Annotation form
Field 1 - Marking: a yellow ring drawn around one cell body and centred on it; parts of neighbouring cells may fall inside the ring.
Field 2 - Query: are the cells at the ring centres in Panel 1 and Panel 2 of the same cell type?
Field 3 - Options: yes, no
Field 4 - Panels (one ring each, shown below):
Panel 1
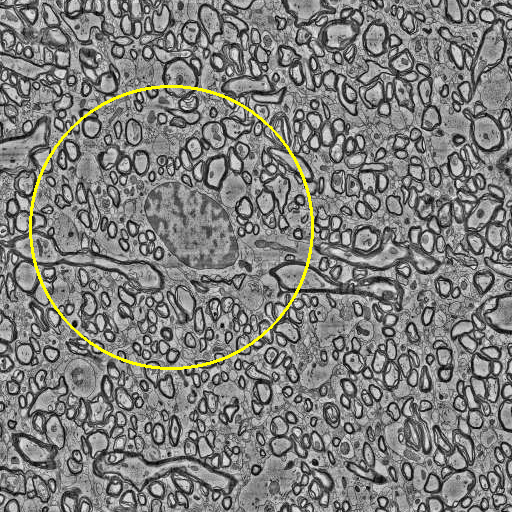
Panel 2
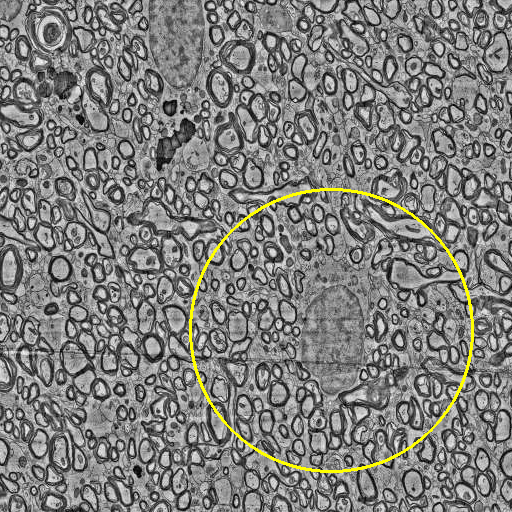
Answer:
no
